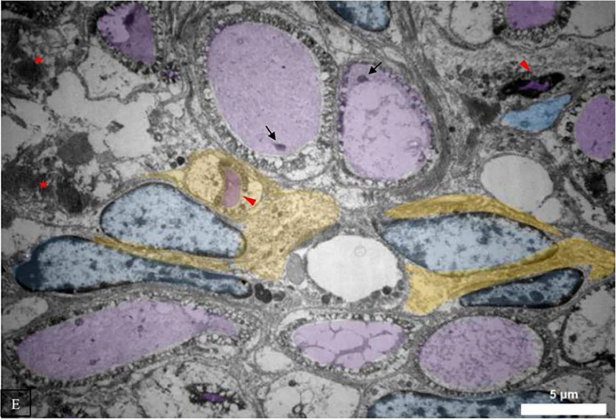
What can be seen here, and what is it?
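Elongated Schwann cell nuclei tinted blue, with dense chromatin gathered along the nuclear edge, lie between the axons, and their yellow-tinted cytoplasm extends as thin flattened processes wrapping around neighbouring profiles. A few small, dark, distorted profiles are scattered among the axons. Patches of dark granular debris appear at the upper left, and fibrous matrix fills the spaces between the cell profiles.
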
